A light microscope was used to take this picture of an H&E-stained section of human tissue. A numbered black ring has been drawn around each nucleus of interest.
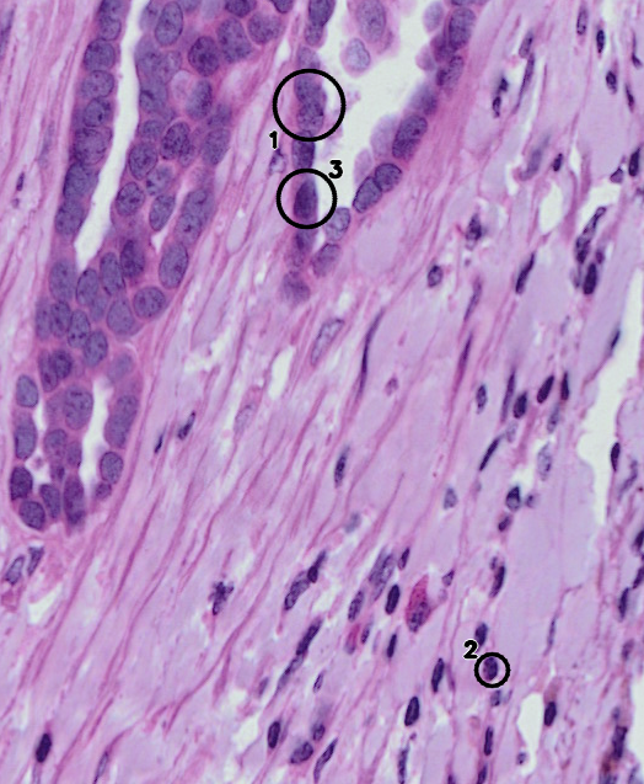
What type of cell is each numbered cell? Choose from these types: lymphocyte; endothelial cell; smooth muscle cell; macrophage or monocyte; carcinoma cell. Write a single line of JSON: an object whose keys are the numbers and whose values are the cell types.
{"1": "carcinoma cell", "2": "lymphocyte", "3": "carcinoma cell"}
